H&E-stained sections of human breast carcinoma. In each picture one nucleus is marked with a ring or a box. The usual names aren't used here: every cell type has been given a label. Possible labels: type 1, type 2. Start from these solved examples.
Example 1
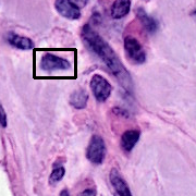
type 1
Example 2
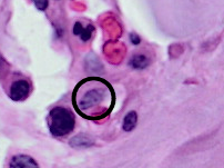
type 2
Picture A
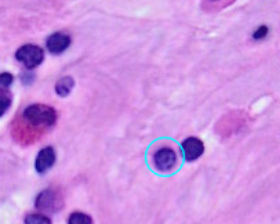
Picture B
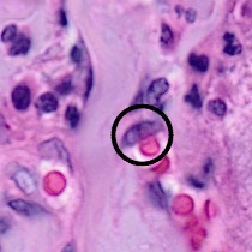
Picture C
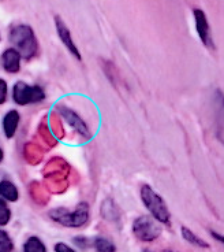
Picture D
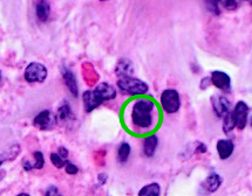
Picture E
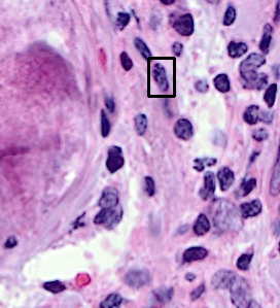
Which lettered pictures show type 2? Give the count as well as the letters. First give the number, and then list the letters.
2: B, C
